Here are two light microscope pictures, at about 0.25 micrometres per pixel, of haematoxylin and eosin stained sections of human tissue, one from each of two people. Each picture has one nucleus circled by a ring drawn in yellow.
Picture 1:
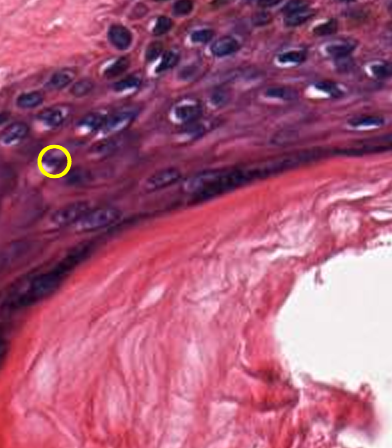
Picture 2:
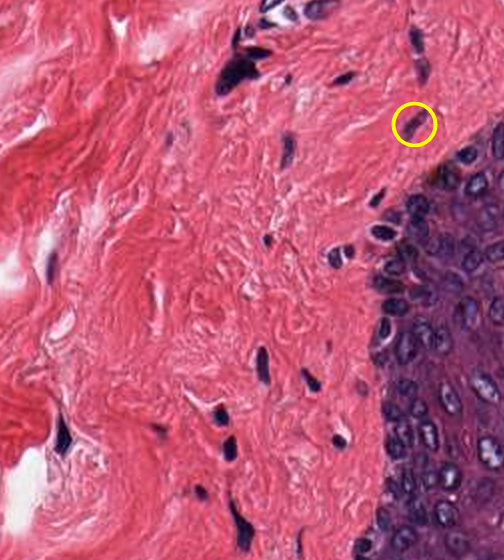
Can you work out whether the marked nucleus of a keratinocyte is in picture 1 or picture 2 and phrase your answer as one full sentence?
Shown in picture 1 is a marked nucleus belonging to a keratinocyte.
